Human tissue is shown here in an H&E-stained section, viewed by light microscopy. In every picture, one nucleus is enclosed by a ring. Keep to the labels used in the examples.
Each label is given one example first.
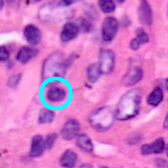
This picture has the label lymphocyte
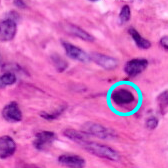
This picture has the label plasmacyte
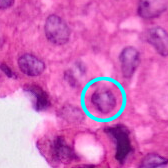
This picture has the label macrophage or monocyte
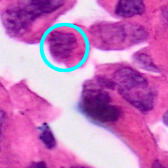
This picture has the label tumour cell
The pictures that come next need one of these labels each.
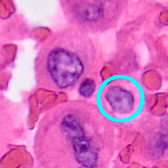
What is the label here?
macrophage or monocyte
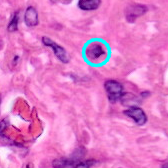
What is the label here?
plasmacyte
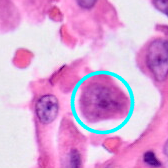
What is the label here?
tumour cell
